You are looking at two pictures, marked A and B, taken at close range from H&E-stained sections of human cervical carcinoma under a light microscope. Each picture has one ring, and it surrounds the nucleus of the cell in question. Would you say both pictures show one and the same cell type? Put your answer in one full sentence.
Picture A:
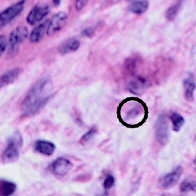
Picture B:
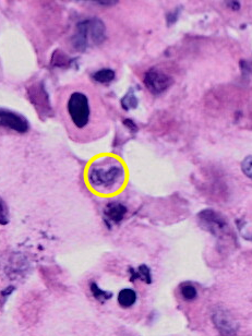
No. Picture A shows a fibroblast, but picture B shows a “macrophage or monocyte”.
